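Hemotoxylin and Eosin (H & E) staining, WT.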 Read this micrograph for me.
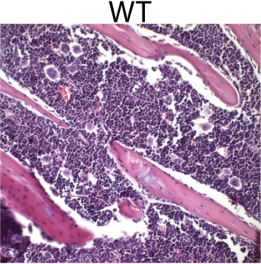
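Cancellous bone with marrow: long pink trabeculae run diagonally through the field, separated by densely cellular marrow. The trabeculae stain homogeneously pink and hold a few small flattened nuclei within lacunae. The marrow spaces are packed with small round cells with dark purple nuclei and scant cytoplasm. A few larger rounded cells with paler cytoplasm are scattered through the marrow. Few empty round fat vacuoles are seen.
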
